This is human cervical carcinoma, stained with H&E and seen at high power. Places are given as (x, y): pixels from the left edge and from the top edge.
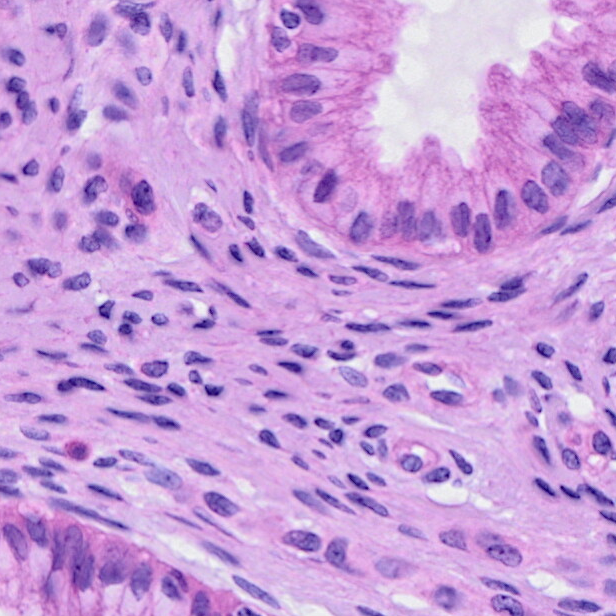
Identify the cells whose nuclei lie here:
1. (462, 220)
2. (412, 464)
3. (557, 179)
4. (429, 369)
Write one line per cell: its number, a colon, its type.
1: secretory epithelial cell
2: endothelial cell
3: secretory epithelial cell
4: endothelial cell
